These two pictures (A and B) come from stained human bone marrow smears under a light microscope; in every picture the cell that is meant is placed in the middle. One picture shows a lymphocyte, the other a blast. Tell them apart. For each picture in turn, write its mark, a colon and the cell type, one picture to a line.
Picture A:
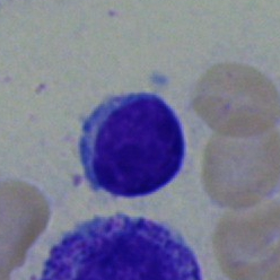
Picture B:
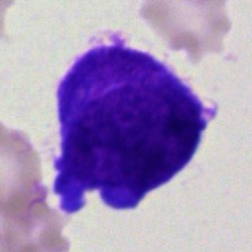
A: lymphocyte
B: blast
